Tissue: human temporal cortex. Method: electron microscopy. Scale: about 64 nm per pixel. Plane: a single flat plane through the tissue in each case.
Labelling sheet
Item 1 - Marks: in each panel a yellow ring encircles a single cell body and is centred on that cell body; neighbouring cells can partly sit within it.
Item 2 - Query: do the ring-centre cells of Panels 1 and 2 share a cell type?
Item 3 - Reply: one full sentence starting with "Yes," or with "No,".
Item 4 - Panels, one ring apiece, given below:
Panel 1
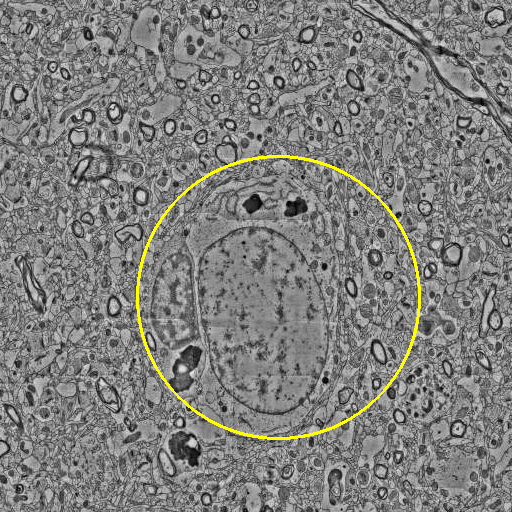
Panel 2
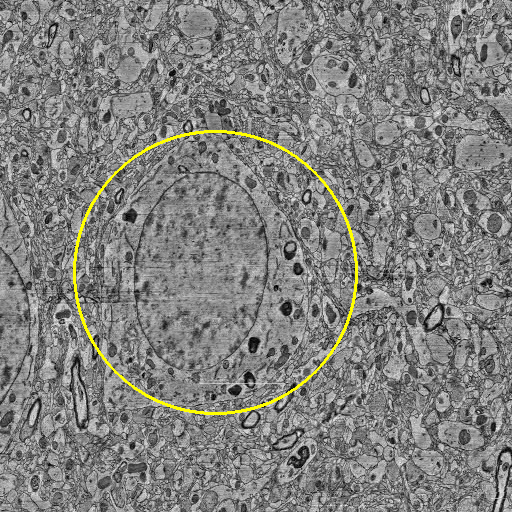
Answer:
Yes, Panel 1 and Panel 2 show one cell type at the centres of their rings.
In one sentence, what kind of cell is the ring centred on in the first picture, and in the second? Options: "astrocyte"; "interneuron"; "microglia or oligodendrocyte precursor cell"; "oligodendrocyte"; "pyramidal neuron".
The cell in the first picture is a pyramidal neuron, and so is the one in the second.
